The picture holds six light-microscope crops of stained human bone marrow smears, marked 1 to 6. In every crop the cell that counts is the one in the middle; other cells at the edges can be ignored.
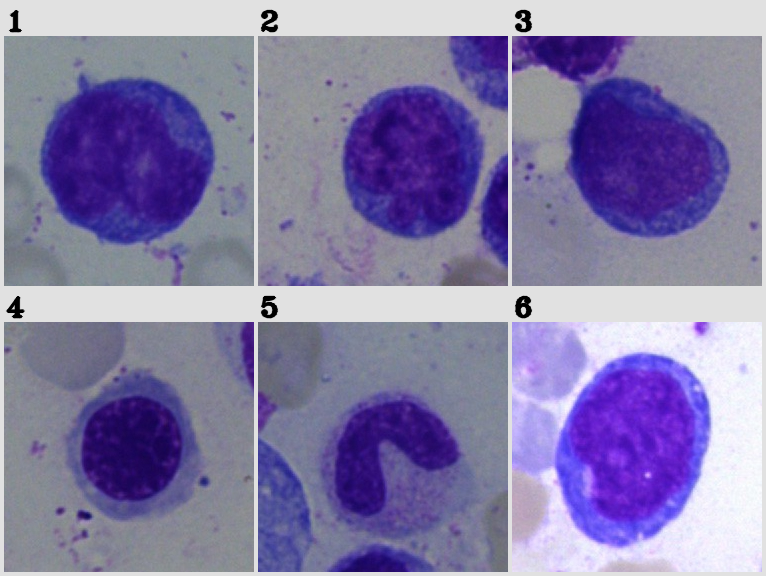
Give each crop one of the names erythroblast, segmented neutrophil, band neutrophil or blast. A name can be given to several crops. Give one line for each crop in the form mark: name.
1: blast
2: blast
3: blast
4: erythroblast
5: band neutrophil
6: blast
